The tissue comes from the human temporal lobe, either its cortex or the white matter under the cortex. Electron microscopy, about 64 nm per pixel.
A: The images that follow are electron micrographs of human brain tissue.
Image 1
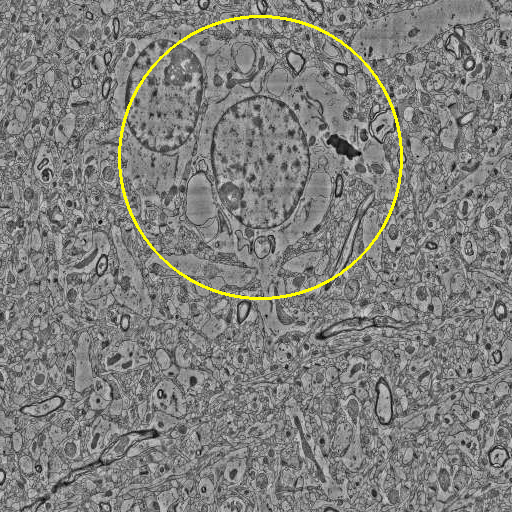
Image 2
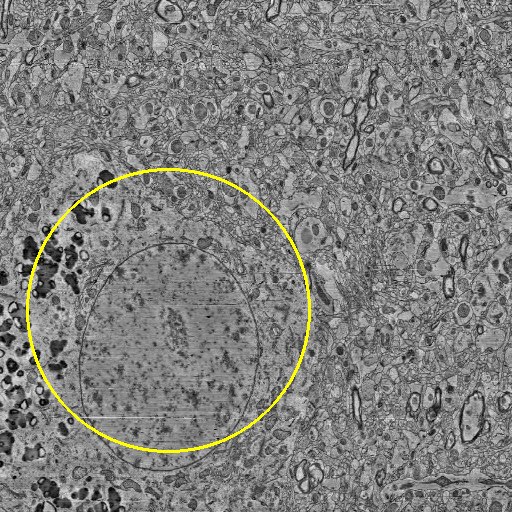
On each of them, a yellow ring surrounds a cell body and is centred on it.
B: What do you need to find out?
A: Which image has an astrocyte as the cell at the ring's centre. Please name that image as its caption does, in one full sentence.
Image 1 is the one whose ring has the sought cell at its centre.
